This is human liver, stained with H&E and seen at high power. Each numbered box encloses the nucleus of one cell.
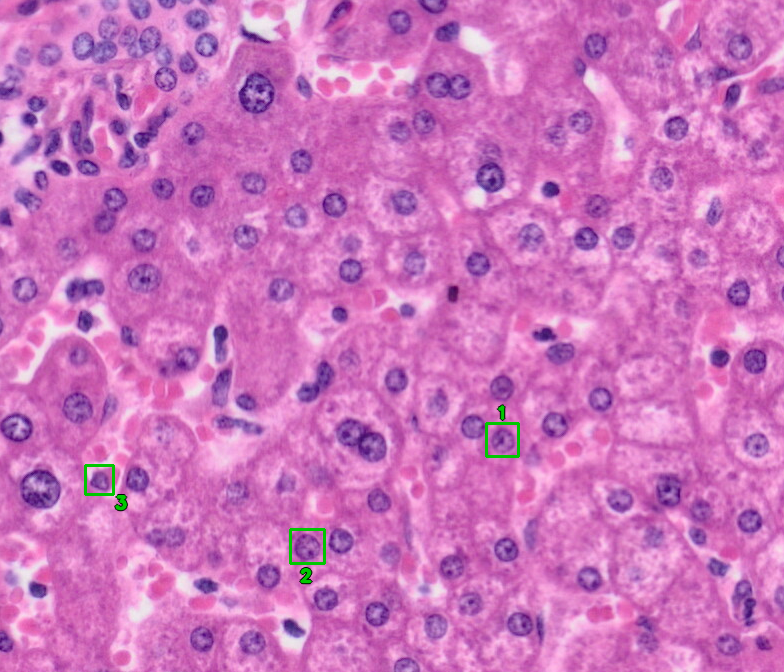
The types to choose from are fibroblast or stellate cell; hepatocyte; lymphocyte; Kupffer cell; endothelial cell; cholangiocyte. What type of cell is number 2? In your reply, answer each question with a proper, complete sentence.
The identity of cell 2 is that of a hepatocyte.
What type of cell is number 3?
The one labeled 3 is a Kupffer cell, to put it simply.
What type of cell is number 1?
It is as a hepatocyte that the cell numbered 1 is identified.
